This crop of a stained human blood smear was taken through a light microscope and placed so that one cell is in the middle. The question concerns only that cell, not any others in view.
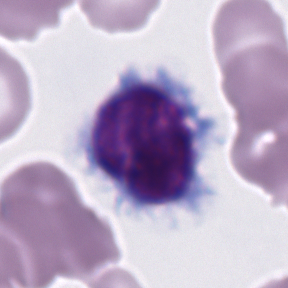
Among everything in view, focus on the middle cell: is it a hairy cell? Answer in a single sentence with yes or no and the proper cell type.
Yes, the cell in the exact middle is a hairy cell.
